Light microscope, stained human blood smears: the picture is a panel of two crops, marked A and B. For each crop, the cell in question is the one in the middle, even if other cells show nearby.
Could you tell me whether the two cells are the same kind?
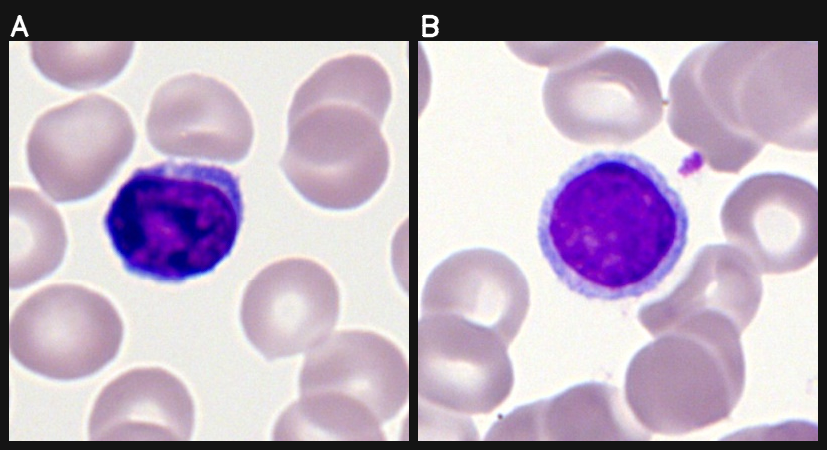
yes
